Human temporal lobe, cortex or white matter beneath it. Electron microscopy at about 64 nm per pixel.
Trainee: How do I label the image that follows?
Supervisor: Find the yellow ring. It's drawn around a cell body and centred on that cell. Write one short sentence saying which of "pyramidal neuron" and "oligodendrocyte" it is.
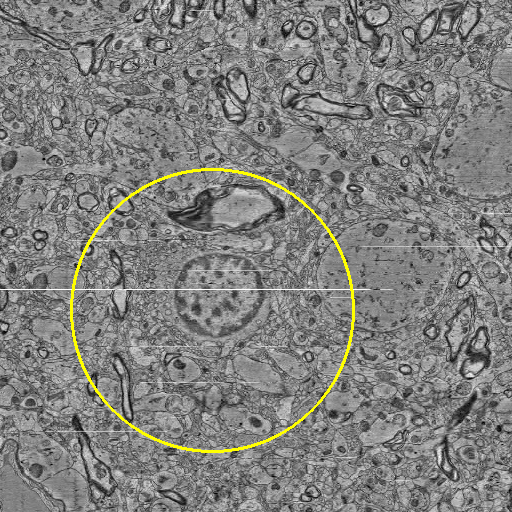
This is the cell body of an oligodendrocyte.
